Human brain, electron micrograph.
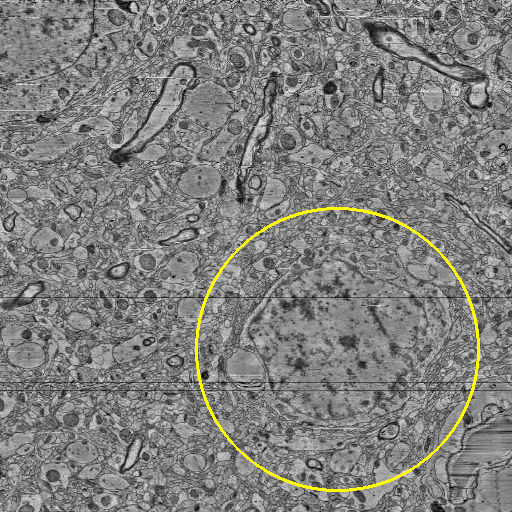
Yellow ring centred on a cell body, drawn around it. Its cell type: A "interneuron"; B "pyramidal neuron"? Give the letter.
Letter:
A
